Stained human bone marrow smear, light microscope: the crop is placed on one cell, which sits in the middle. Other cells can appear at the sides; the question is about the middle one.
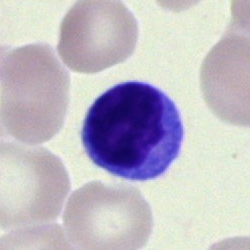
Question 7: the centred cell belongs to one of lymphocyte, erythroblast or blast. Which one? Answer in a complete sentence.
At the crop's centre, the cell is a lymphocyte.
